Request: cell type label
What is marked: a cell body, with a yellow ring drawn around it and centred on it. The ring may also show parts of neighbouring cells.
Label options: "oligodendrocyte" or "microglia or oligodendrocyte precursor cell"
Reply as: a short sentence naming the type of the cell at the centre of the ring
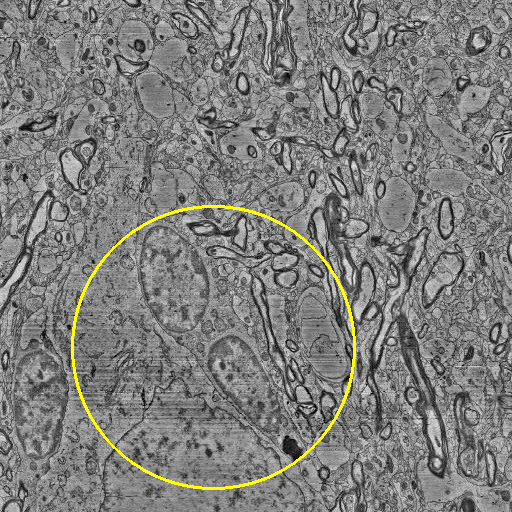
The marked cell body is that of an oligodendrocyte.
